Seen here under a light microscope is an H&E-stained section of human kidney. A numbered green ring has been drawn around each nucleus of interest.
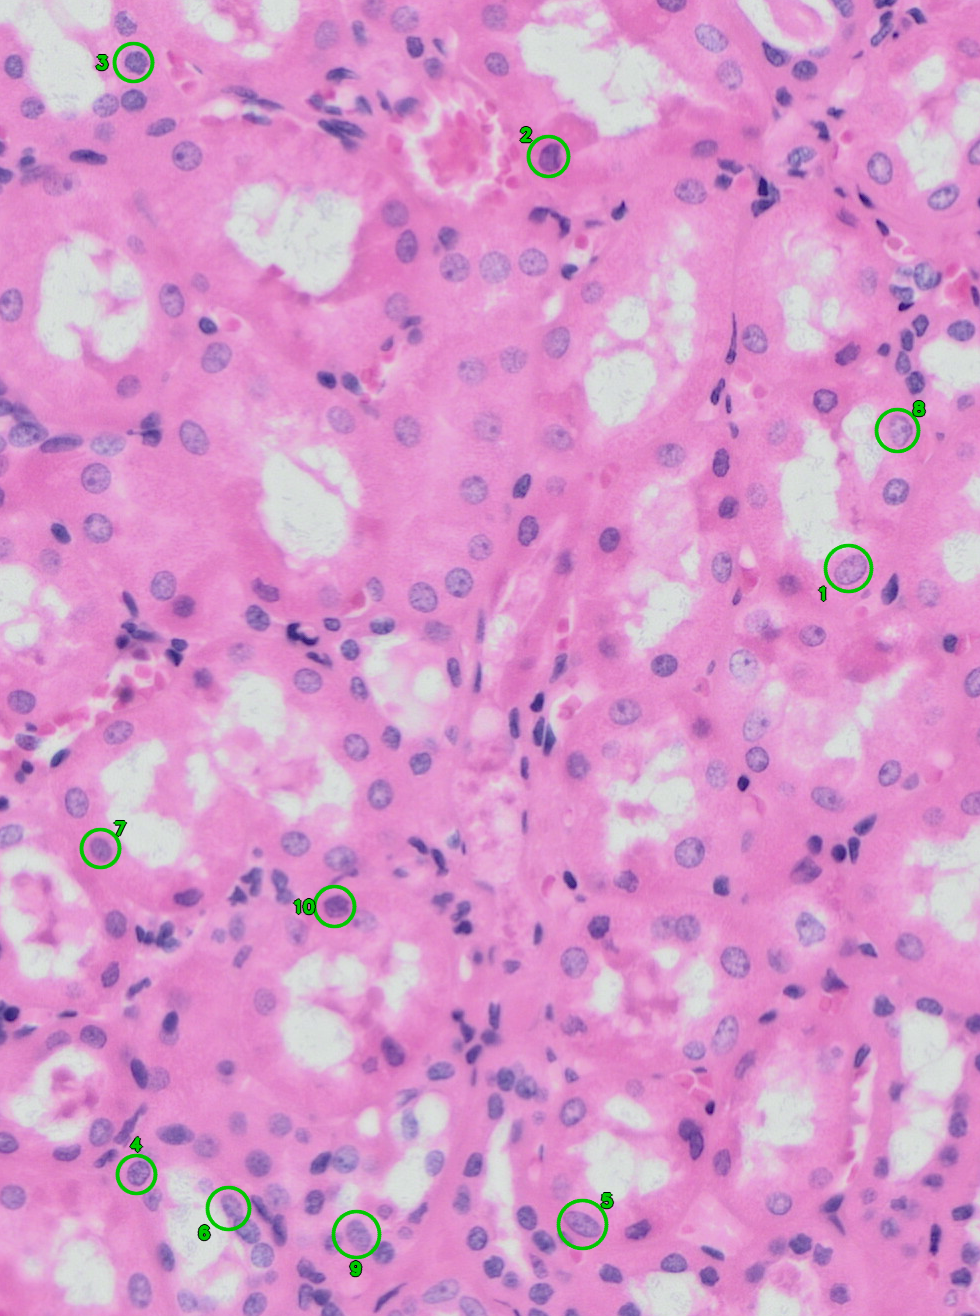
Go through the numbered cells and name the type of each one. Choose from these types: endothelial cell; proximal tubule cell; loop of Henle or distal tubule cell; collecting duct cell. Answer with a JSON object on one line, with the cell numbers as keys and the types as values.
{"1": "proximal tubule cell", "2": "proximal tubule cell", "3": "loop of Henle or distal tubule cell", "4": "collecting duct cell", "5": "proximal tubule cell", "6": "collecting duct cell", "7": "proximal tubule cell", "8": "proximal tubule cell", "9": "collecting duct cell", "10": "proximal tubule cell"}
